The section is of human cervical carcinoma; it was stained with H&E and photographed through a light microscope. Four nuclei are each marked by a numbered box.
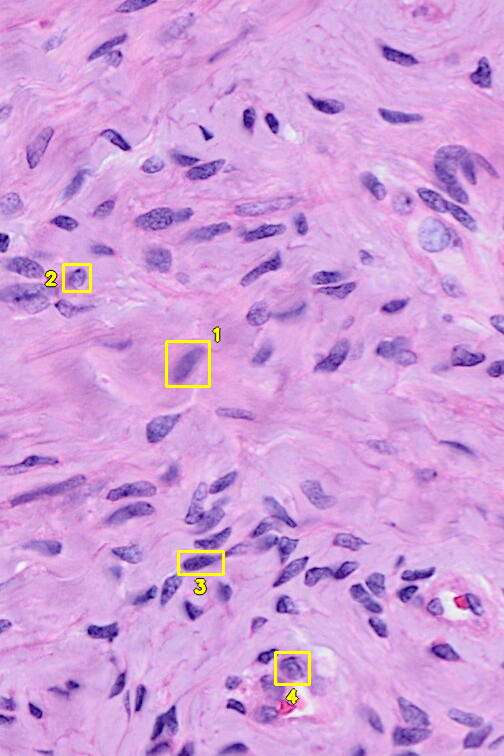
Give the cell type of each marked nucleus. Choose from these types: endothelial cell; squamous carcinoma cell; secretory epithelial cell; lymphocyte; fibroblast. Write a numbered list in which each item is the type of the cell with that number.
1. fibroblast
2. fibroblast
3. fibroblast
4. endothelial cell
